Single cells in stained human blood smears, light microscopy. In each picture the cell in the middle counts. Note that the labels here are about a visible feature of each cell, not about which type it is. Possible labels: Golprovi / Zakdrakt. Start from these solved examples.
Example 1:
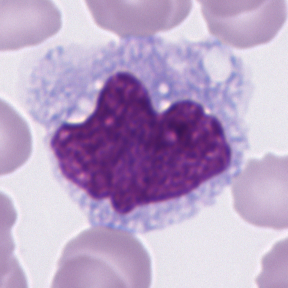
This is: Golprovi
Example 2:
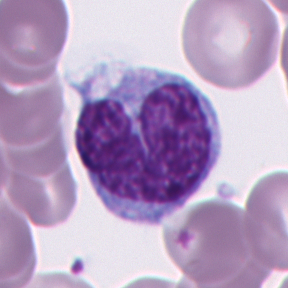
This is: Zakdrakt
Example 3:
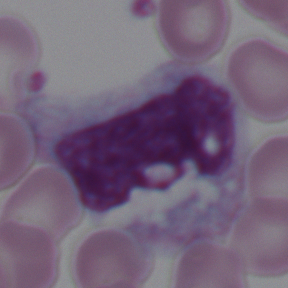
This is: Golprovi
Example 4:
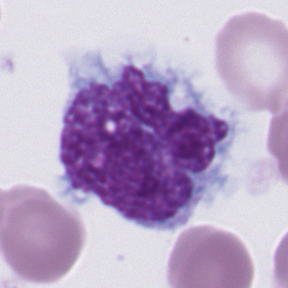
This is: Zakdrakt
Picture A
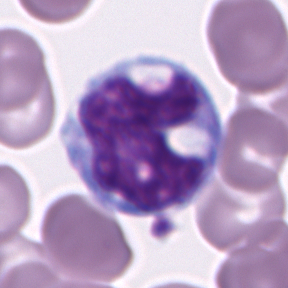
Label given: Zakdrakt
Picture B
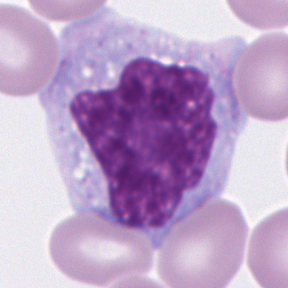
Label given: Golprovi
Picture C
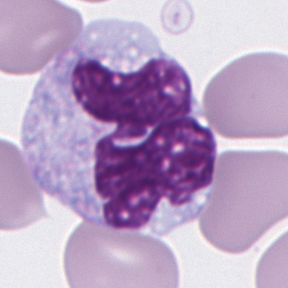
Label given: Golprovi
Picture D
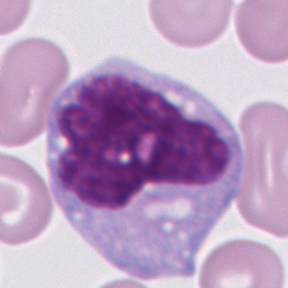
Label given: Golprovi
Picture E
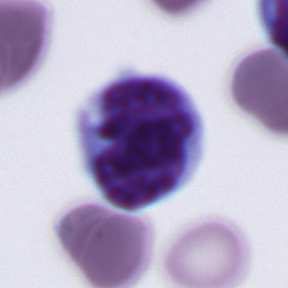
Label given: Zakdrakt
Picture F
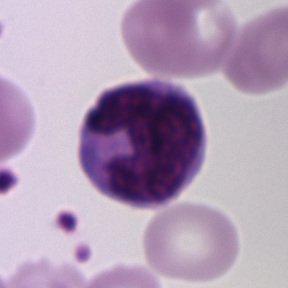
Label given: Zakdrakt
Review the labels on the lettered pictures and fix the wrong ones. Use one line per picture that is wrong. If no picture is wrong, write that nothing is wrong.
All labels are correct.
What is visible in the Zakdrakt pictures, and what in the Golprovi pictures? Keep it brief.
In Zakdrakt: scant cytoplasm. In Golprovi: abundant cytoplasm.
